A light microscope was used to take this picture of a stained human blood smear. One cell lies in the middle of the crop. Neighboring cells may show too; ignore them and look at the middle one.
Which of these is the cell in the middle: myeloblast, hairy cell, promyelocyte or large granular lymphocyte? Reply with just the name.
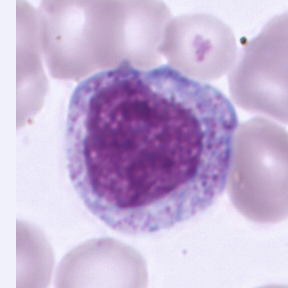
promyelocyte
